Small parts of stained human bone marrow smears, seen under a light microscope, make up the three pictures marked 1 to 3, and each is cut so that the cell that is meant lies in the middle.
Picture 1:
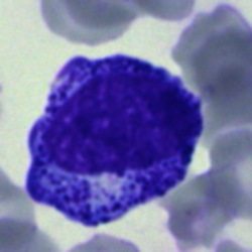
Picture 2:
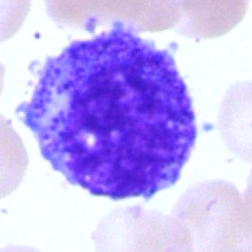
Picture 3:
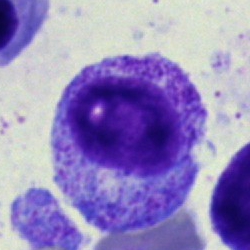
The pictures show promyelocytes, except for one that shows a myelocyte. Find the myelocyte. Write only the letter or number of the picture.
3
